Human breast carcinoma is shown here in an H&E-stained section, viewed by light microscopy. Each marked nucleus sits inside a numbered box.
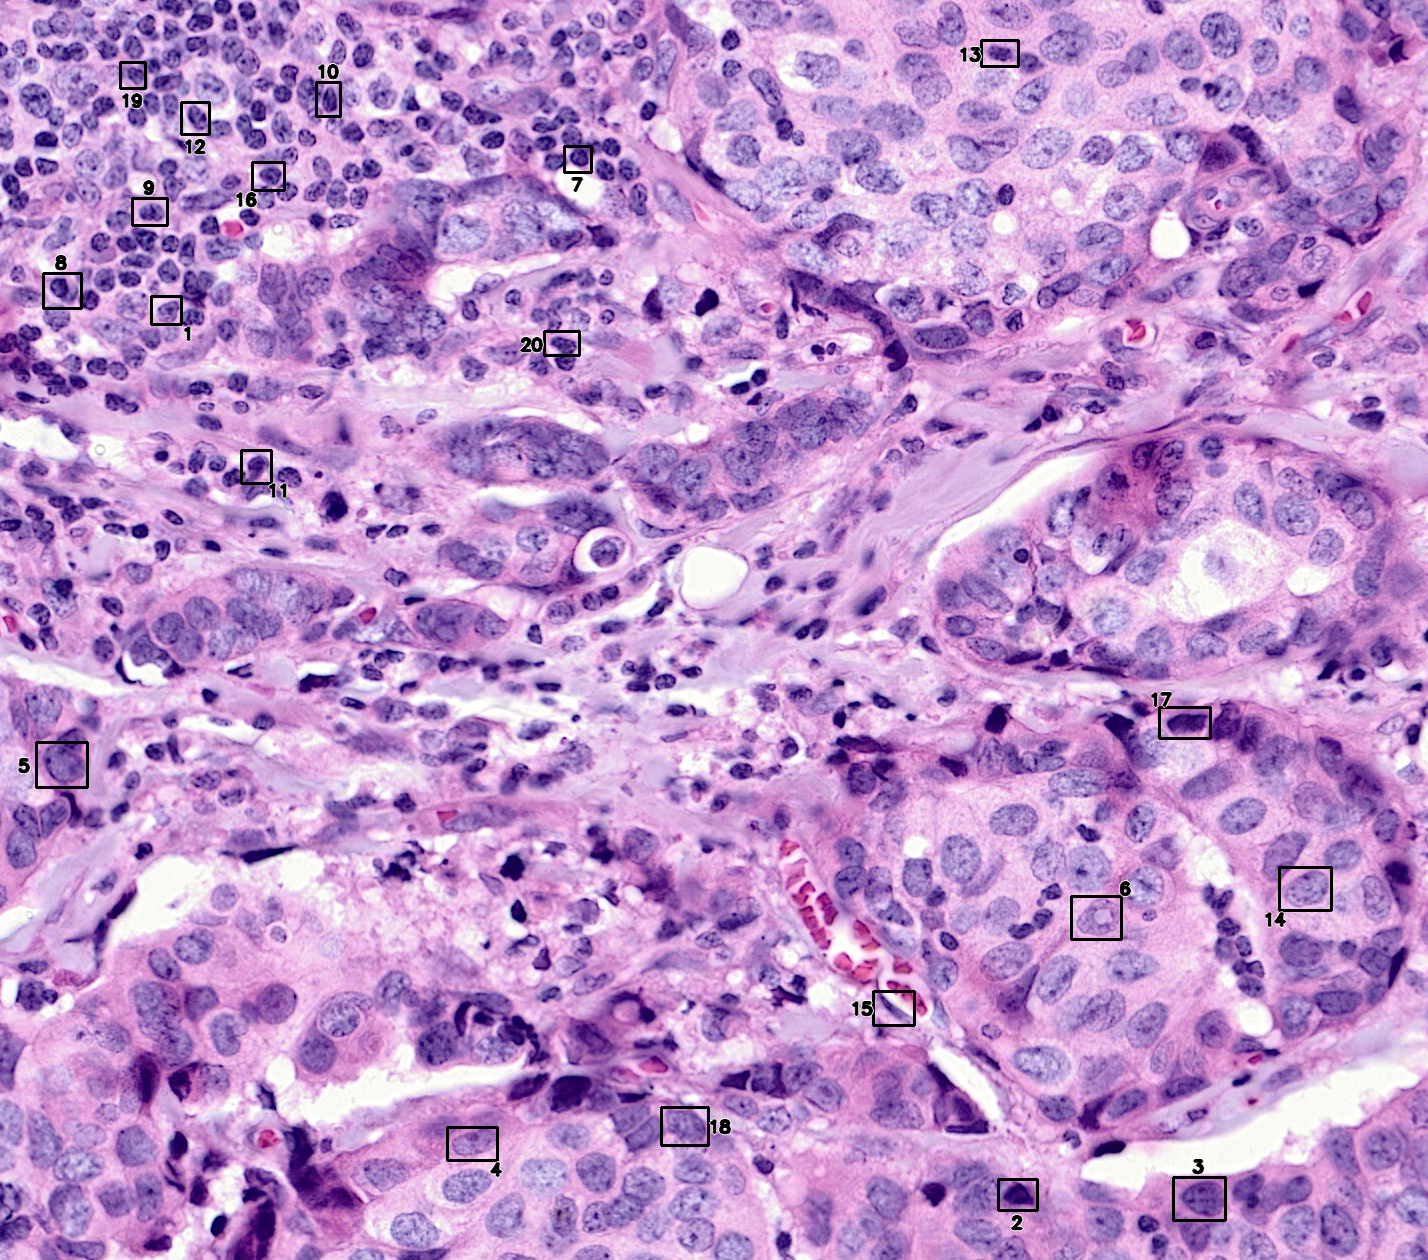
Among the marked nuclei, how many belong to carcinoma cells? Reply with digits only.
8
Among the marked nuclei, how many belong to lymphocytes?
11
